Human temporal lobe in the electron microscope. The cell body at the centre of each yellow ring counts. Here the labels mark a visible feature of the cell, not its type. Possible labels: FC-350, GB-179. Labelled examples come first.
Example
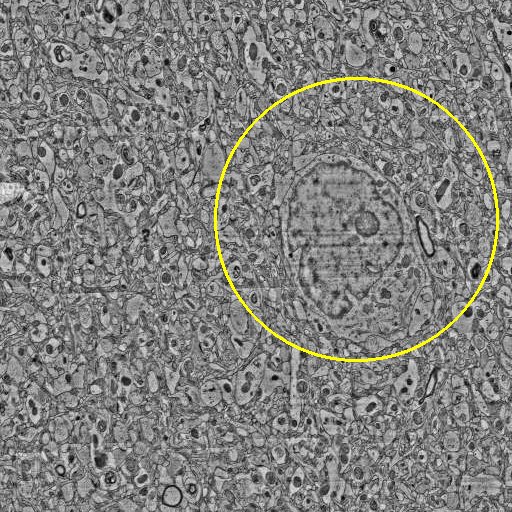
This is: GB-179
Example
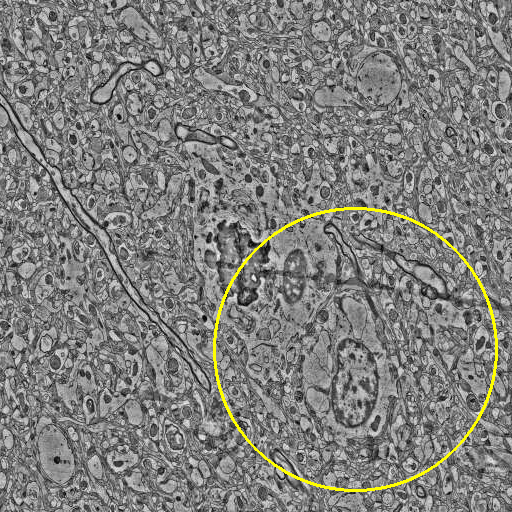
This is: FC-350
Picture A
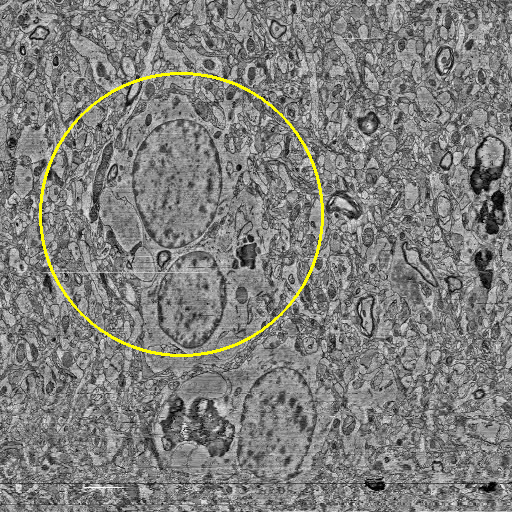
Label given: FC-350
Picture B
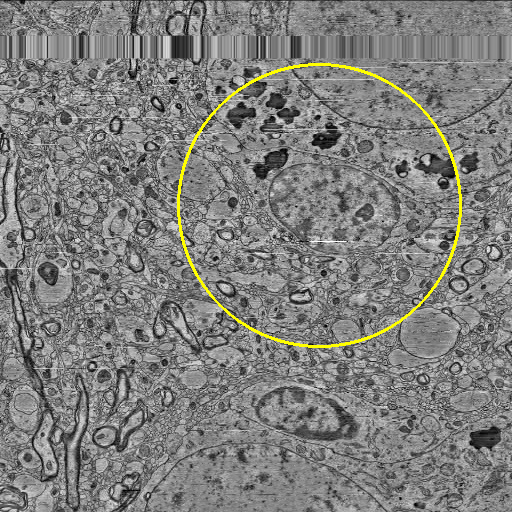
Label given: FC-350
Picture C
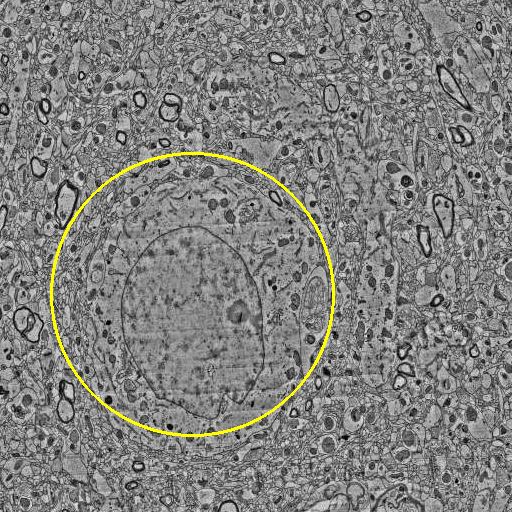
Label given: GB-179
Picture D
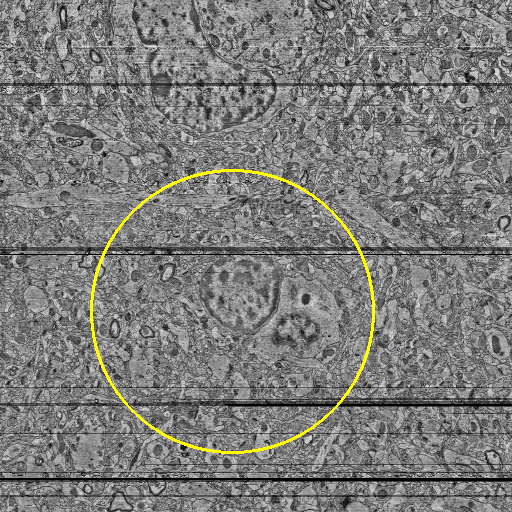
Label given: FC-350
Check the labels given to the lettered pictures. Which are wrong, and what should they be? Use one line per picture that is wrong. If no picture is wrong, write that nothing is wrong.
Wrong: B (FC-350); correct: GB-179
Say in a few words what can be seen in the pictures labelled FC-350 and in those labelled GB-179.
FC-350: no nucleolus seen; GB-179: nucleolus seen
